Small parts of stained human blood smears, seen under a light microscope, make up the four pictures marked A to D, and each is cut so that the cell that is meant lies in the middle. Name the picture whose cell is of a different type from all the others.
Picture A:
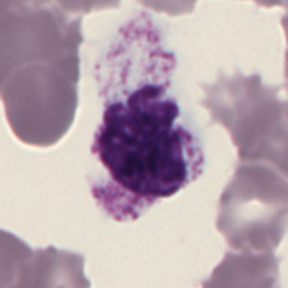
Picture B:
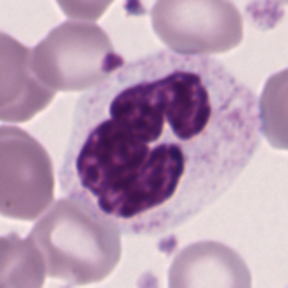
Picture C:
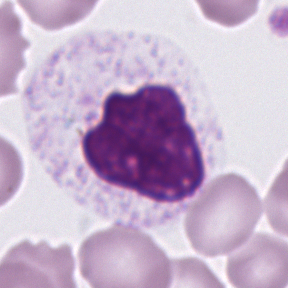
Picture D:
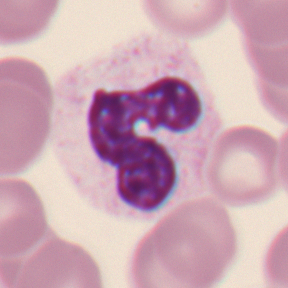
A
